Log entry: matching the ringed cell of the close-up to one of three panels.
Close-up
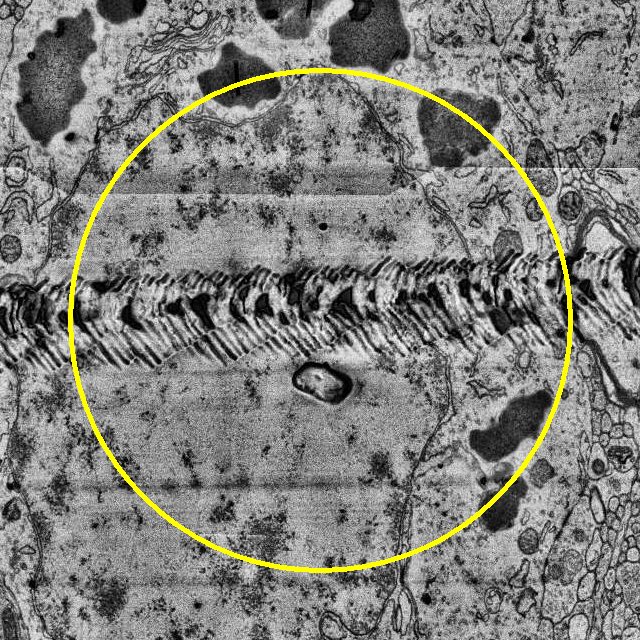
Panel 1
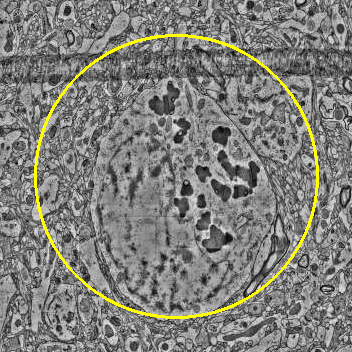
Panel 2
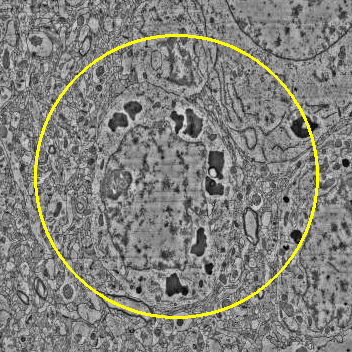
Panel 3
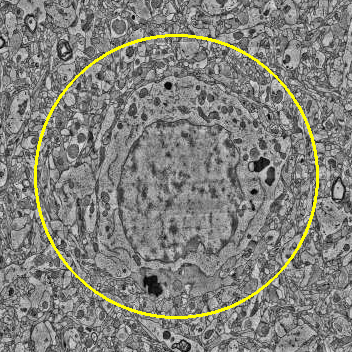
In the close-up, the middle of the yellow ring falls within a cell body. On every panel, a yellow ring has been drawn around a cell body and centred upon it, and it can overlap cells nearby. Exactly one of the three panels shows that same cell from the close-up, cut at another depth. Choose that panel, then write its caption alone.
Panel 2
